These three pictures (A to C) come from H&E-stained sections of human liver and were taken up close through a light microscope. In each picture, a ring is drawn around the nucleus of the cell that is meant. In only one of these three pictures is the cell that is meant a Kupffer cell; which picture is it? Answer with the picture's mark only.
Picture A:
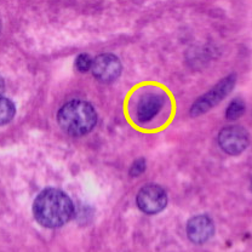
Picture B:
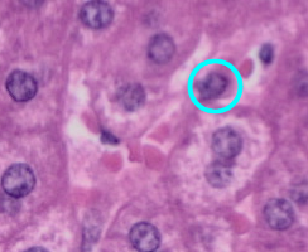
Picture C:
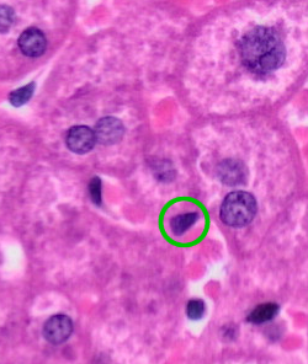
B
